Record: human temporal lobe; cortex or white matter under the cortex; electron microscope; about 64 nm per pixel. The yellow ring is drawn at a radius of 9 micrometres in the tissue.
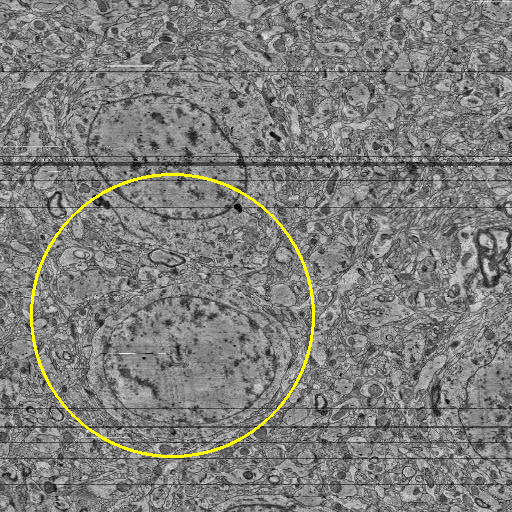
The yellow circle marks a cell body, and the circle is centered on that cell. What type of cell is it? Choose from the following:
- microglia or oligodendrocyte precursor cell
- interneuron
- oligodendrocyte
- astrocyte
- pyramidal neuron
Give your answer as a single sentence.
This cell body belongs to a pyramidal neuron.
